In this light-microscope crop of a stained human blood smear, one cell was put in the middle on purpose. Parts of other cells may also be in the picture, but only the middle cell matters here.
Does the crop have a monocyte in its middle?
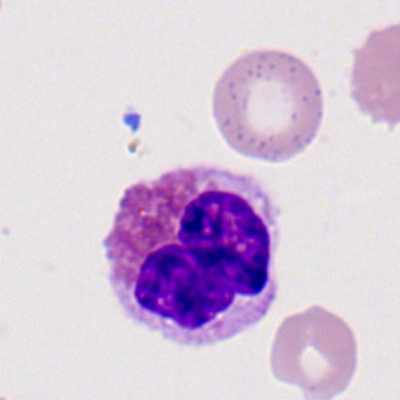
no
